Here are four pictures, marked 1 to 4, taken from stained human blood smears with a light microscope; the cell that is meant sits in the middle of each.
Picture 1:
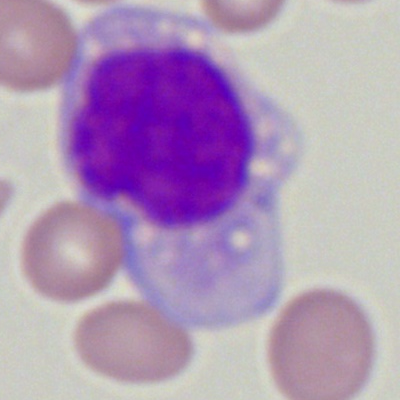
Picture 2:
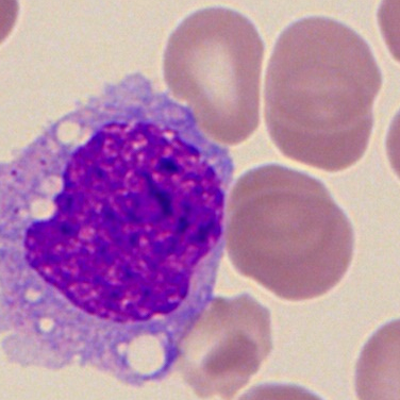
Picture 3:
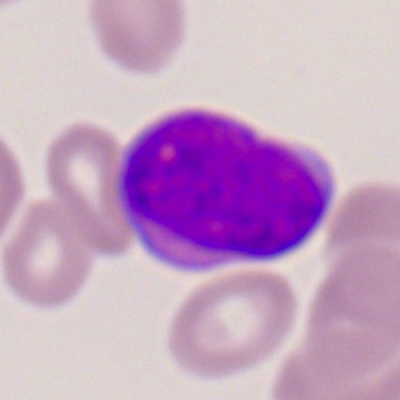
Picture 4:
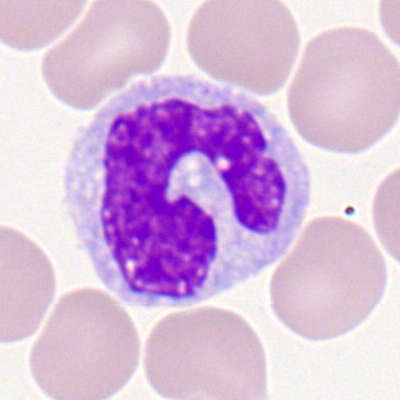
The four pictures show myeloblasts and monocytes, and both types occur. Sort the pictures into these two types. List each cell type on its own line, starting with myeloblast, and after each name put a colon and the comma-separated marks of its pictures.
myeloblast: 3
monocyte: 1, 2, 4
